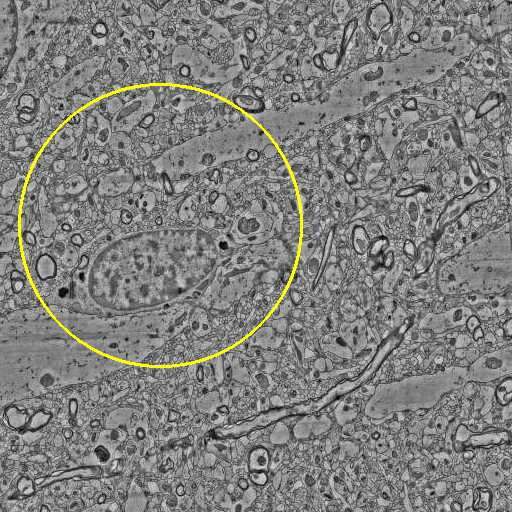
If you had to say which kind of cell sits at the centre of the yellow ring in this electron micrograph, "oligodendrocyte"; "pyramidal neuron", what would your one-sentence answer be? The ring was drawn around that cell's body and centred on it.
The cell sitting at the centre of the ring is an oligodendrocyte.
